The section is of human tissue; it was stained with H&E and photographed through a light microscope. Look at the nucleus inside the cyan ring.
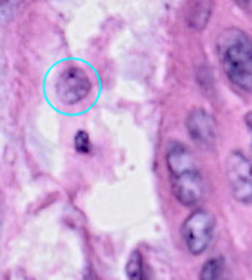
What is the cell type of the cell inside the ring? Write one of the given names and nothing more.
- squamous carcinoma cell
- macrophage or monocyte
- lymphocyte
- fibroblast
macrophage or monocyte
